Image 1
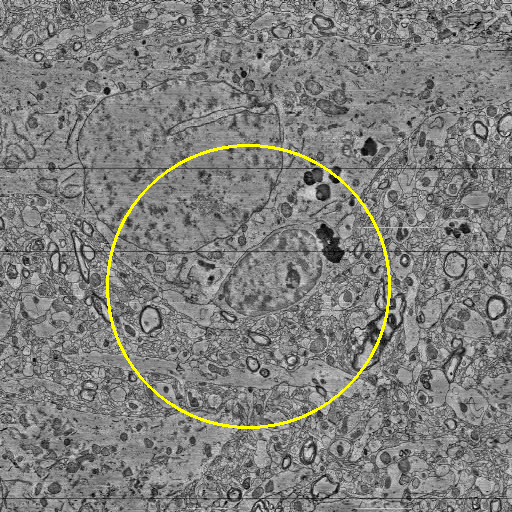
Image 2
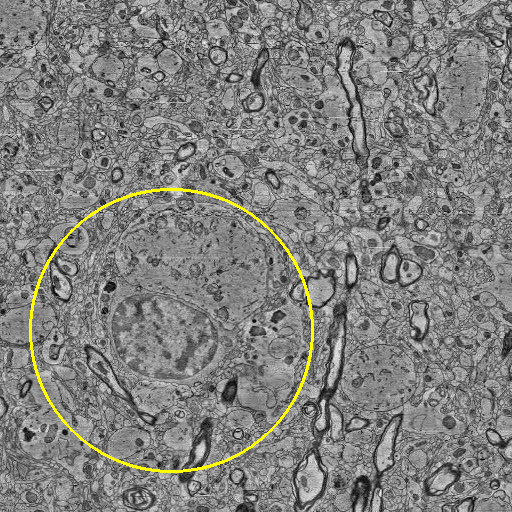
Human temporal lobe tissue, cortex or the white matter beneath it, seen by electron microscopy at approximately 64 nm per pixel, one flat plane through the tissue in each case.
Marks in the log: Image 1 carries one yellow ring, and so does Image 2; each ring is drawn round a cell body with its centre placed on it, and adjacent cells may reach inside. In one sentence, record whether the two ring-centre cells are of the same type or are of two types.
The two cells at the ring centres, one in each image, are of the same type.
